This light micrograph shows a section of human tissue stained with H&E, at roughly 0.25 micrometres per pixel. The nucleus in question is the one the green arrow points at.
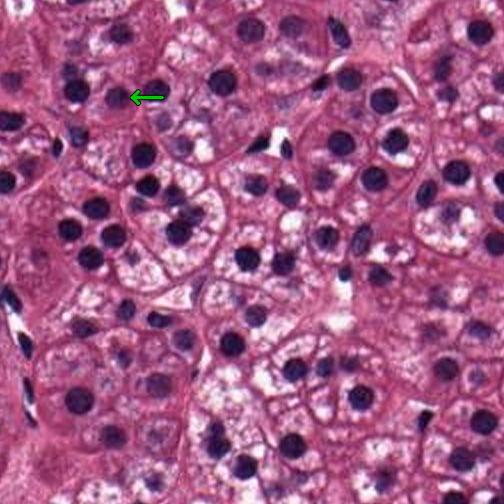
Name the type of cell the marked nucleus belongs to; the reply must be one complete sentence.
The marked nucleus here is the nucleus of an adrenal cortical cell.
